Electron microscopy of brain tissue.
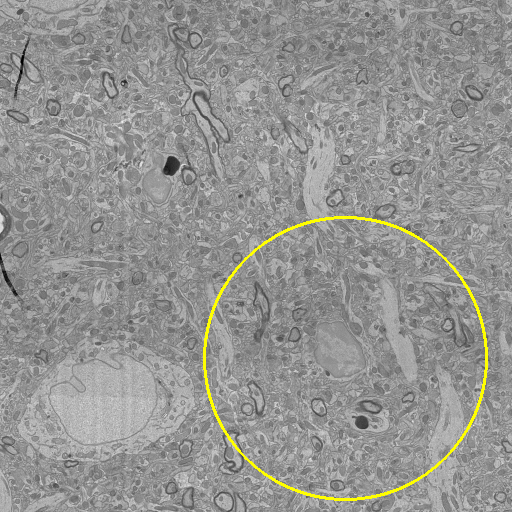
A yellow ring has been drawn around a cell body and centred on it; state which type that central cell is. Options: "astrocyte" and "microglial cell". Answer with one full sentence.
The cell at the middle of the yellow ring is a microglial cell in this picture.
